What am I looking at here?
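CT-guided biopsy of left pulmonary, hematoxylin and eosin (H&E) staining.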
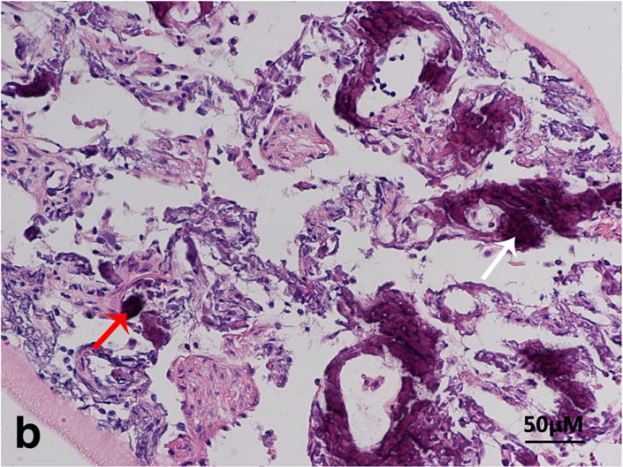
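Lung interstitium with irregular dark purple calcium deposits, several forming rings around small spaces. A small compact very dark calcified body lies in the loose fibrous tissue.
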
